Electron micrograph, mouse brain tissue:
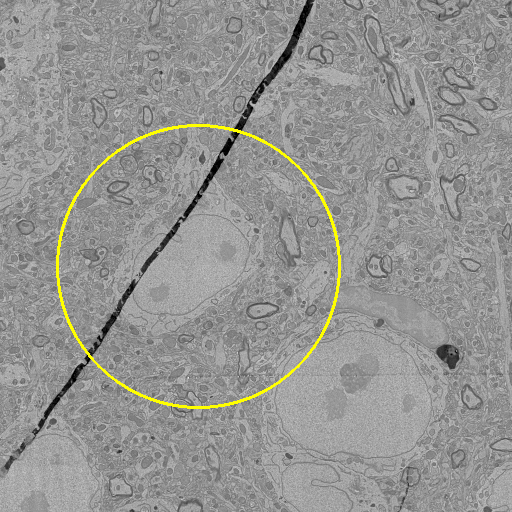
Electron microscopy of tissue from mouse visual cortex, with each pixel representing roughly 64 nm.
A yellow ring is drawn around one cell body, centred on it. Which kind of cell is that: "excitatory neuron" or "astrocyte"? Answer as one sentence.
It is an excitatory neuron at the centre of the ring.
